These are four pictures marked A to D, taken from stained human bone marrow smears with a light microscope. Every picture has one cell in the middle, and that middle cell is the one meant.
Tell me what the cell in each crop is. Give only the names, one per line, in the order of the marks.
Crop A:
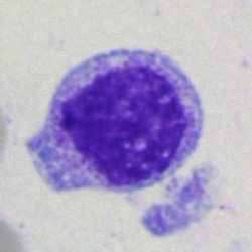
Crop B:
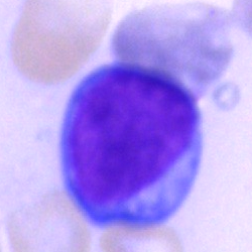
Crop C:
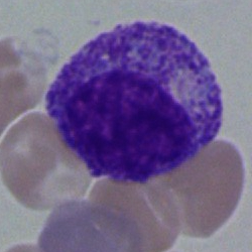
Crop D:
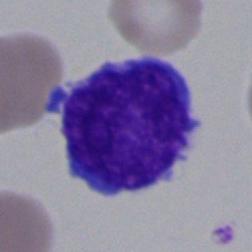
myelocyte
blast
myelocyte
blast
